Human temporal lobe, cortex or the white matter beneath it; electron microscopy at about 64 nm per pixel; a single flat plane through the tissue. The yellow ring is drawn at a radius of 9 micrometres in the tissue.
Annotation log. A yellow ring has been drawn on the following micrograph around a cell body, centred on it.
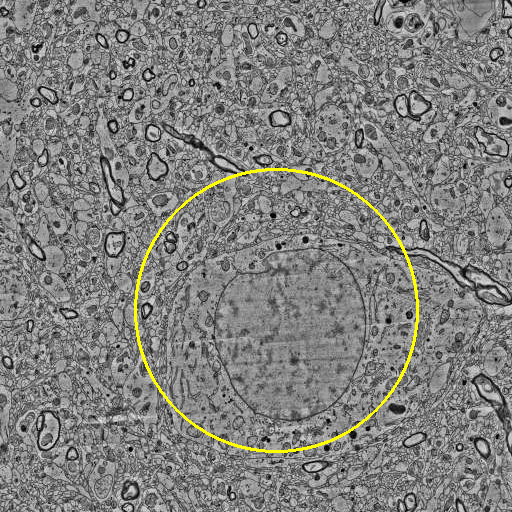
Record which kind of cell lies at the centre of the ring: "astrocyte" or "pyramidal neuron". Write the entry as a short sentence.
The cell the ring is centred on is a pyramidal neuron.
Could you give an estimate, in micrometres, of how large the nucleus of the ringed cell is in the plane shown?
In this plane the nucleus measures roughly 11 by 10 micrometres.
